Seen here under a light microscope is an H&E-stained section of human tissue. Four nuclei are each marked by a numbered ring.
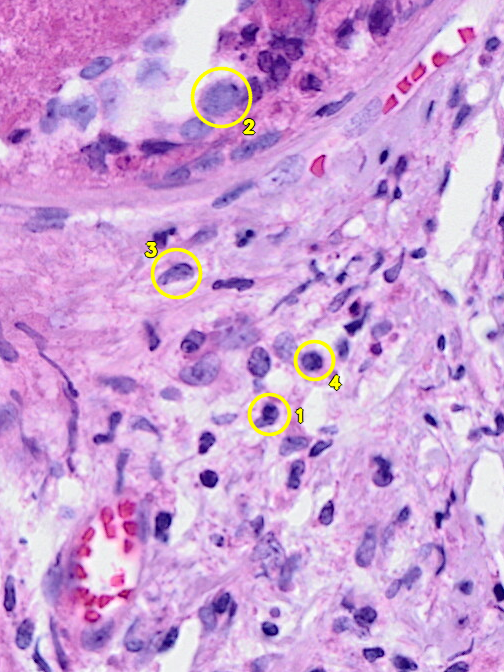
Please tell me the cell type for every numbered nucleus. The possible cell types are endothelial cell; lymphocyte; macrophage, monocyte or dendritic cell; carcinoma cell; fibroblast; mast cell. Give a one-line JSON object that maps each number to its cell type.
{"1": "lymphocyte", "2": "carcinoma cell", "3": "macrophage, monocyte or dendritic cell", "4": "lymphocyte"}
